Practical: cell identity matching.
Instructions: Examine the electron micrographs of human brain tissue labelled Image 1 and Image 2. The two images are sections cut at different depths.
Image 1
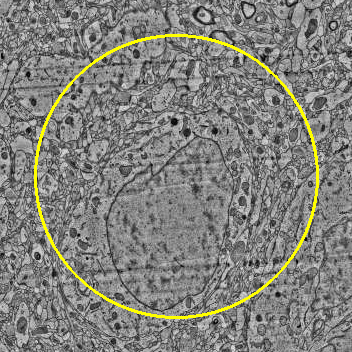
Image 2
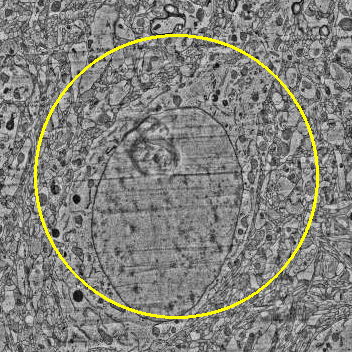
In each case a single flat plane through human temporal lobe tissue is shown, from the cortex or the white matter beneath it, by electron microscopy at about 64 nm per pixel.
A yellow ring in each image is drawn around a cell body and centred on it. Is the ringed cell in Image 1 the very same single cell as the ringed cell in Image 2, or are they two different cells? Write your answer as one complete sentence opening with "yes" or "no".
Yes, the two rings belong to one cell, not to two.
